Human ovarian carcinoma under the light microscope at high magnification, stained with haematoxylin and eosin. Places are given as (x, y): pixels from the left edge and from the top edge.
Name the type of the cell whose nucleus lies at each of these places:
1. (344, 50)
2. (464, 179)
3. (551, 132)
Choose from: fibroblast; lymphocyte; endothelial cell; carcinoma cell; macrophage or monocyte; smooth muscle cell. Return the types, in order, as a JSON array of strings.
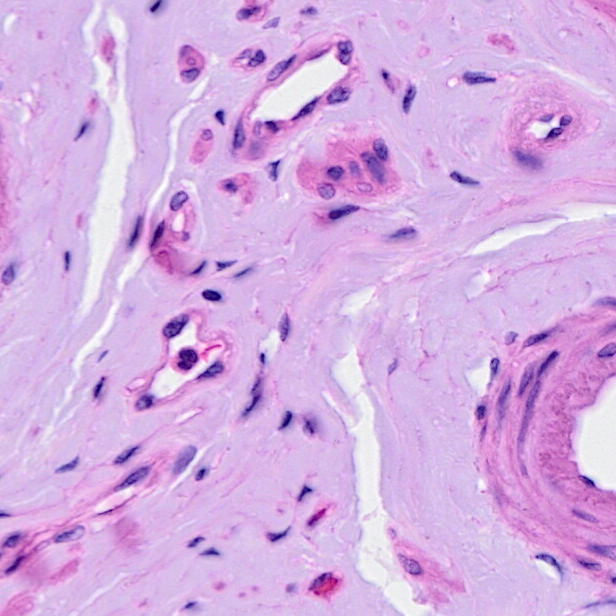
["endothelial cell", "fibroblast", "endothelial cell"]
